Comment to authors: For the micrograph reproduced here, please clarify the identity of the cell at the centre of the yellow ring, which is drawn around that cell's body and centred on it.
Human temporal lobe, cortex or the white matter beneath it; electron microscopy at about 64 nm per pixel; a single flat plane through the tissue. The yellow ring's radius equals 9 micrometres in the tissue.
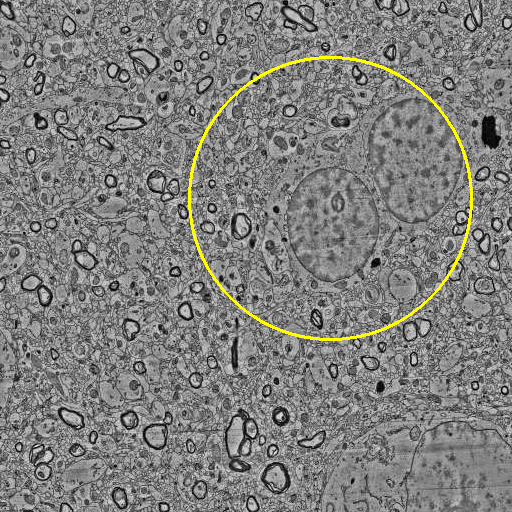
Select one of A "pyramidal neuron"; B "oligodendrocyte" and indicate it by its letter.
B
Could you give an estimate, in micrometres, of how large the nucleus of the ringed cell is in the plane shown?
In this plane, roughly 7 by 6 micrometres.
